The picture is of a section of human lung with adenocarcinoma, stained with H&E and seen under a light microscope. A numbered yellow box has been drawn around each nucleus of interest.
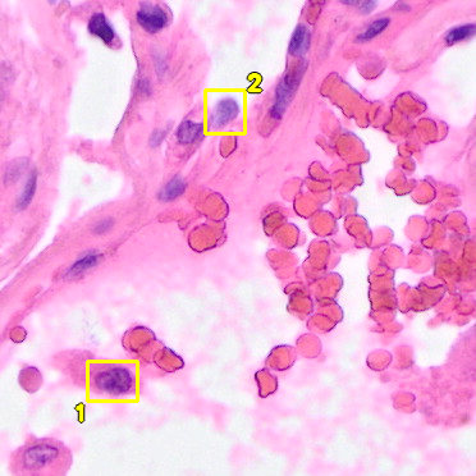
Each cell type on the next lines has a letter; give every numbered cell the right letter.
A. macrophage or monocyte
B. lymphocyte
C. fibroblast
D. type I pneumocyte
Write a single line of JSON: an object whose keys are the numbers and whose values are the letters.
{"1": "A", "2": "D"}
